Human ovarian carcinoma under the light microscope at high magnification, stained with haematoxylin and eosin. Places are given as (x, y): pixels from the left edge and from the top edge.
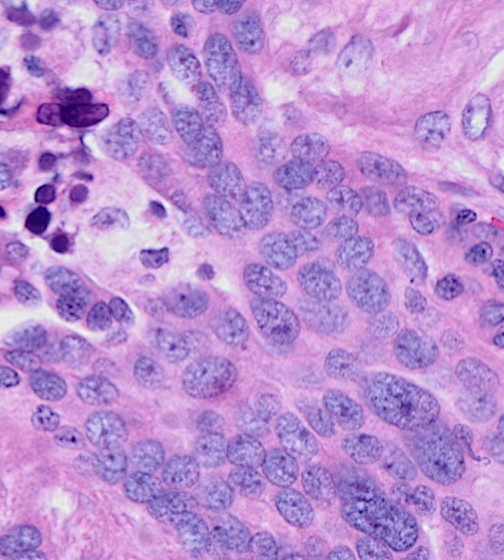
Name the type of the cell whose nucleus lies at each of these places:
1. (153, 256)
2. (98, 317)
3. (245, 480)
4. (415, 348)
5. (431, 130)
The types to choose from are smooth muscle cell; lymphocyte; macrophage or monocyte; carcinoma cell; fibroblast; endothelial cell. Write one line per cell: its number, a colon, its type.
1: macrophage or monocyte
2: carcinoma cell
3: carcinoma cell
4: carcinoma cell
5: fibroblast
